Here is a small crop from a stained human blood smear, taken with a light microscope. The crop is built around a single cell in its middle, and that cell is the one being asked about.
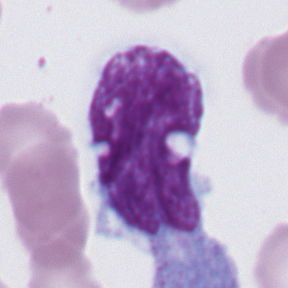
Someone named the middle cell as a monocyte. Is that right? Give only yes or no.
yes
